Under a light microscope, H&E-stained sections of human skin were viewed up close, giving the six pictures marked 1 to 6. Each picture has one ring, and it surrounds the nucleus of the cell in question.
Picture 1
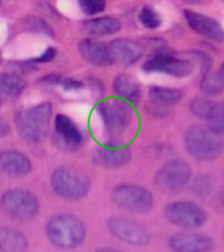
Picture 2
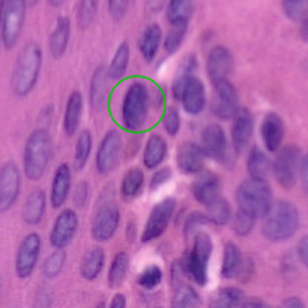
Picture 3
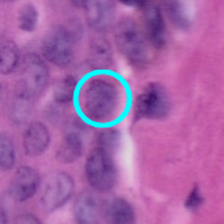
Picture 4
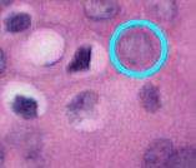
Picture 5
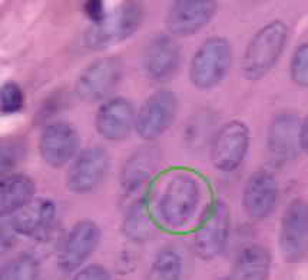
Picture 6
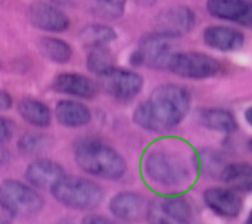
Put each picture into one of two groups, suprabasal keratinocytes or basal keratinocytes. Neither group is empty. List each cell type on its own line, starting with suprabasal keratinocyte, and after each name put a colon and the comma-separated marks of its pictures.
suprabasal keratinocyte: 4, 5, 6
basal keratinocyte: 1, 2, 3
